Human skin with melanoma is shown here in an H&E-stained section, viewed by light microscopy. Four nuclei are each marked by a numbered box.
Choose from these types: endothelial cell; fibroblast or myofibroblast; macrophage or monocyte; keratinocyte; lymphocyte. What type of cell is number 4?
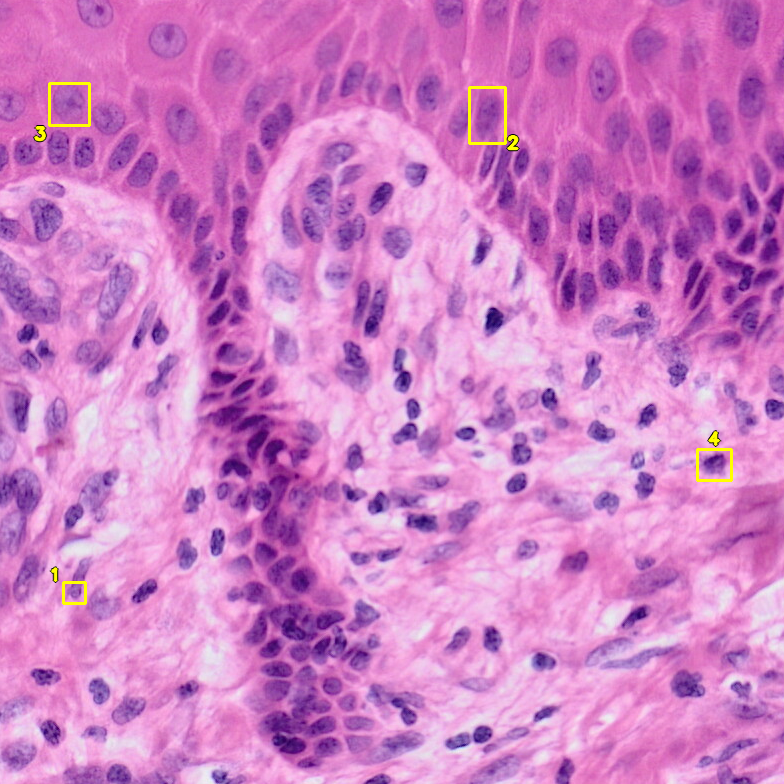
lymphocyte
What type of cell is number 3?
keratinocyte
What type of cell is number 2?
keratinocyte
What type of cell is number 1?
macrophage or monocyte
